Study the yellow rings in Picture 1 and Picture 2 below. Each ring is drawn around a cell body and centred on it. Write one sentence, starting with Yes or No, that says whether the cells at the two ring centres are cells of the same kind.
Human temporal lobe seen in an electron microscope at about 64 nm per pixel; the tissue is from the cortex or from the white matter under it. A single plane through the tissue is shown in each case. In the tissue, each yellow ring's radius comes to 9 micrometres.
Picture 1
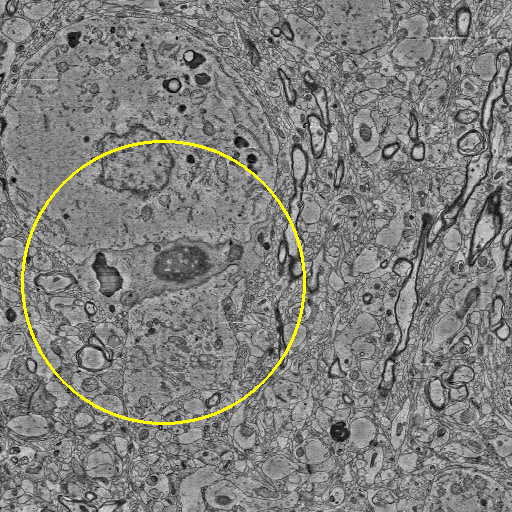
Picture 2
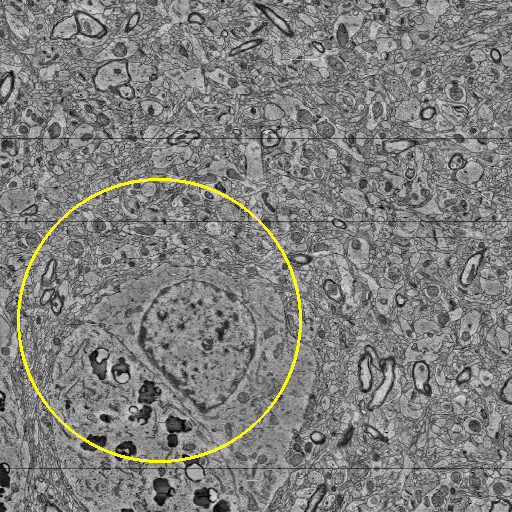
No, the cells at the ring centres are of two kinds.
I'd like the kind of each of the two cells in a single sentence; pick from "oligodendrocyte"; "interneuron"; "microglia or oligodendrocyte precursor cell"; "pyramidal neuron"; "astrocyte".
The first ring marks an oligodendrocyte, and the second ring marks a microglial cell or oligodendrocyte precursor cell.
